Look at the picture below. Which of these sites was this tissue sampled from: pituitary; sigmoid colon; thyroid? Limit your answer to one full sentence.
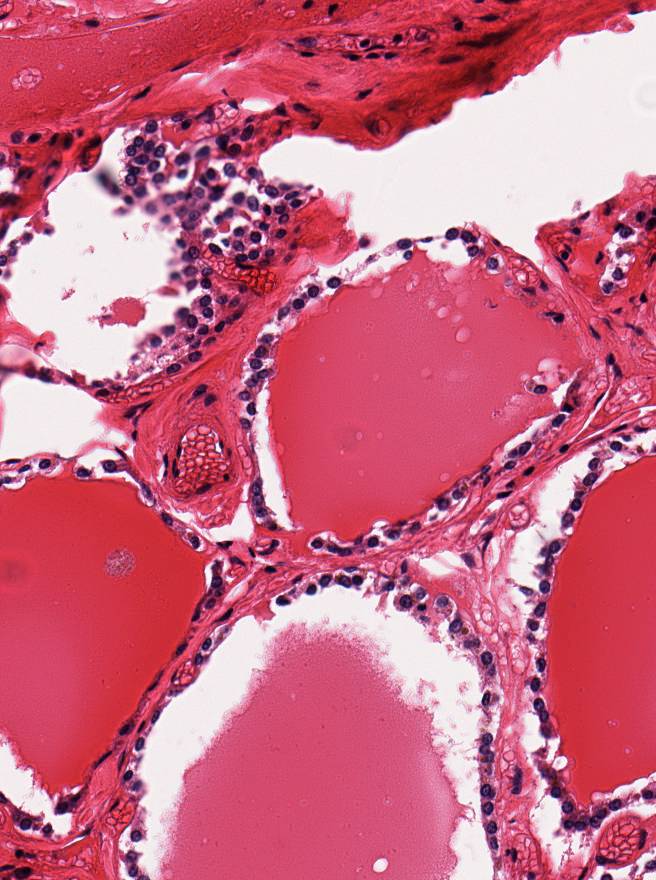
The sampling site of this tissue was the thyroid.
